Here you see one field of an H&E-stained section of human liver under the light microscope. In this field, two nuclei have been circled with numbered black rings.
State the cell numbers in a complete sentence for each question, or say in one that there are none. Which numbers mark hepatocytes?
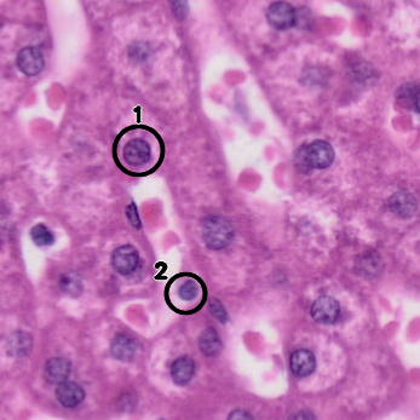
Of the marked cells, the one numbered 1 is a hepatocyte and the rest are not.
